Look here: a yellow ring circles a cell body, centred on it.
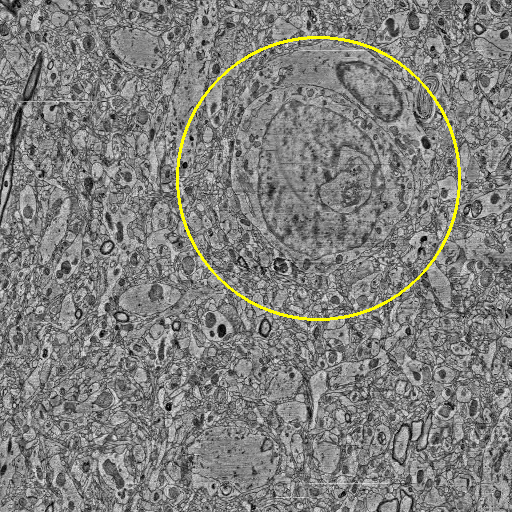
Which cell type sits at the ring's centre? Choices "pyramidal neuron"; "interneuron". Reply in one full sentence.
The cell at the centre of the yellow ring in the picture is an interneuron.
